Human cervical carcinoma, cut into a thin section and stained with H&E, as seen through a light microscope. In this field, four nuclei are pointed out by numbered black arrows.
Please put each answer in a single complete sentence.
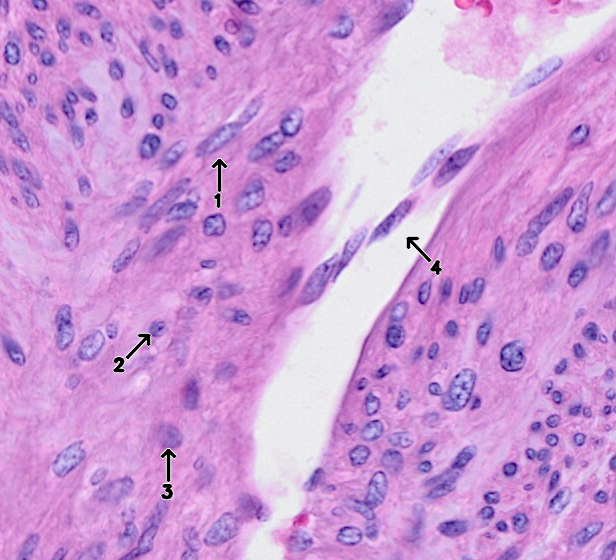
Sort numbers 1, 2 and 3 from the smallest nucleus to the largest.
Smallest first, the nuclei run 2, 3, 1.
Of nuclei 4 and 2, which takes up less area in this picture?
Number 2 is smaller, since number 4 takes up about 4 times as much area.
